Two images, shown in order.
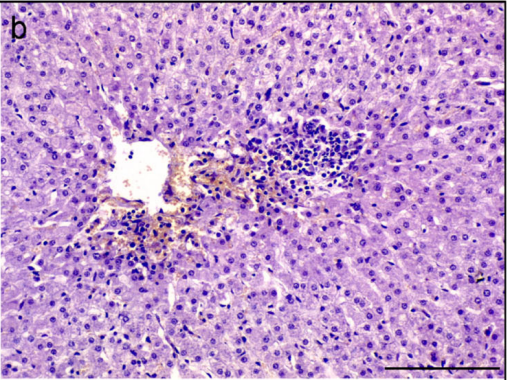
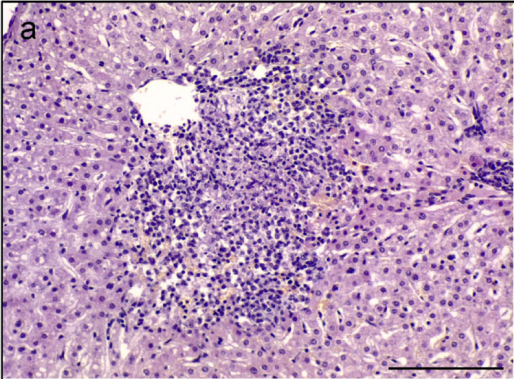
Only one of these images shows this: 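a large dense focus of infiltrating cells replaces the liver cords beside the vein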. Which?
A: the second image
